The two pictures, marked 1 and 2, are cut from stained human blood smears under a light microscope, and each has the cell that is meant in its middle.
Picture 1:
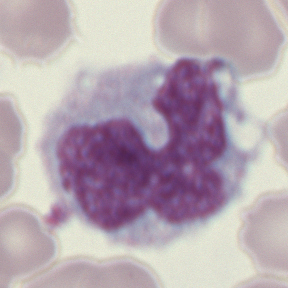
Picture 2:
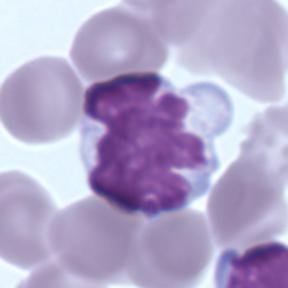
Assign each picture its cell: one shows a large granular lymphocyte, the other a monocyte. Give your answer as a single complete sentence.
The cell in picture 1 is a monocyte, and the one in picture 2 is a large granular lymphocyte.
